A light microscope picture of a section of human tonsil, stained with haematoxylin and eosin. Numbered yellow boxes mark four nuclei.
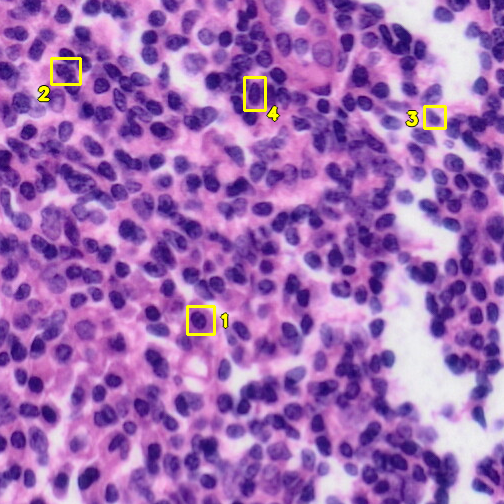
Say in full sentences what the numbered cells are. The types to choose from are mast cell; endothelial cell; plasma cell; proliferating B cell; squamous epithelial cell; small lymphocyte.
Cell 1 is a plasma cell, cell 2 is a small lymphocyte, cell 3 is a small lymphocyte and cell 4 is a small lymphocyte.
